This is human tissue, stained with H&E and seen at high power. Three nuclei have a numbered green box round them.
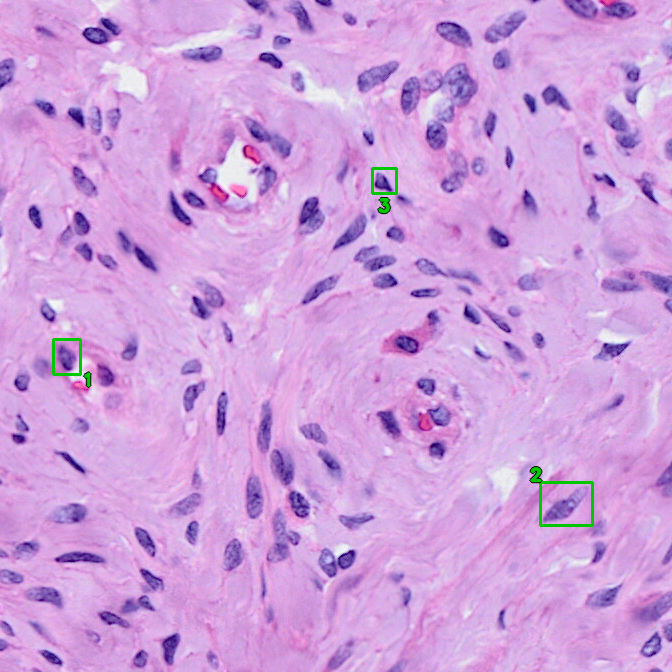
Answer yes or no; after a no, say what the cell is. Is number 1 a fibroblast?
No, it is an endothelial cell.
